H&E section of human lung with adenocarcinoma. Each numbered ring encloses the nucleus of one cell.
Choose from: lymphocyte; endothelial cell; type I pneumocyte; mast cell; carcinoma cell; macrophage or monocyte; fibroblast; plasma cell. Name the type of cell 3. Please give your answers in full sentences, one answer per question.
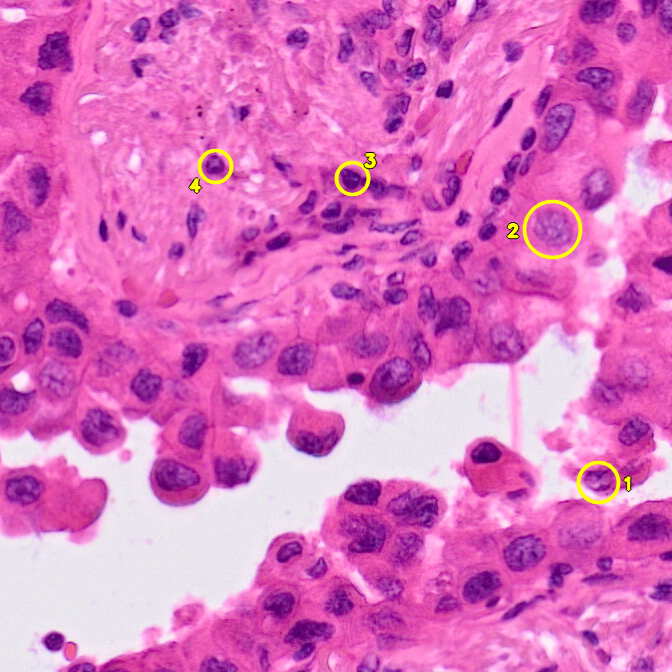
Here, the cell given the number 3 is a plasma cell.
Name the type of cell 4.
The nucleus labelled 4 belongs to a plasma cell.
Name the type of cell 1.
Number 1 among the marked cells is a macrophage or monocyte.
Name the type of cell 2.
What the number 2 marks in this field is a carcinoma cell.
